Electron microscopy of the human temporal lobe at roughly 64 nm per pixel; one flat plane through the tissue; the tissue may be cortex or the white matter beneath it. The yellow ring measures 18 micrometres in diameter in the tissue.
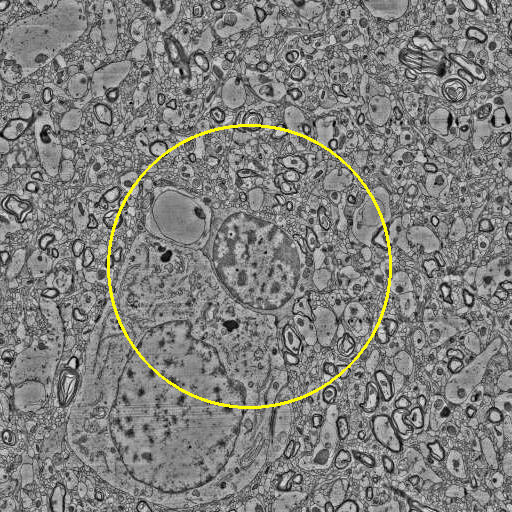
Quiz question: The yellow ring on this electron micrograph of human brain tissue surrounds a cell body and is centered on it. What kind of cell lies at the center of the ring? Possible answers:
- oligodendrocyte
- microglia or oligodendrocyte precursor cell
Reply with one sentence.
The ring's center lies on an oligodendrocyte.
